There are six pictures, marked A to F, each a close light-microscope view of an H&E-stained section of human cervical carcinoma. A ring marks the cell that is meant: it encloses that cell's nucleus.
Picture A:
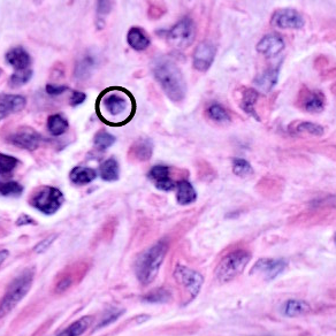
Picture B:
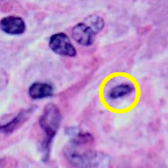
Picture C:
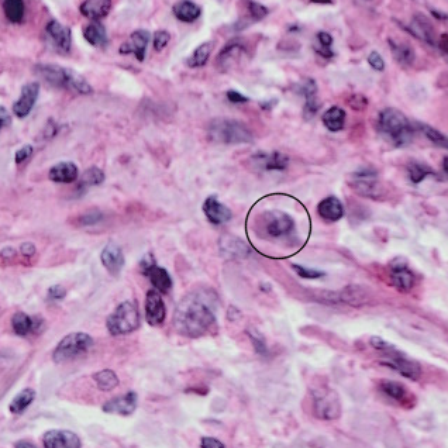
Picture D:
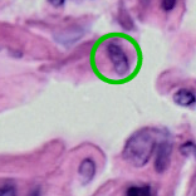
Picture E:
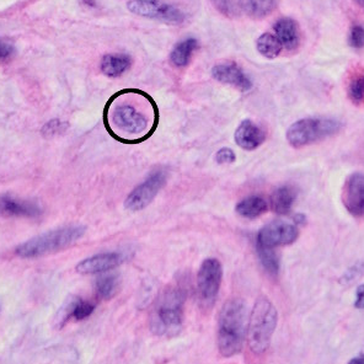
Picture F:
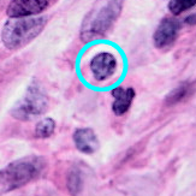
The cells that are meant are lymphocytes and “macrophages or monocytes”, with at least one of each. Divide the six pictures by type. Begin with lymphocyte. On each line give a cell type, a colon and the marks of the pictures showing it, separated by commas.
lymphocyte: A, B, F
macrophage or monocyte: C, D, E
